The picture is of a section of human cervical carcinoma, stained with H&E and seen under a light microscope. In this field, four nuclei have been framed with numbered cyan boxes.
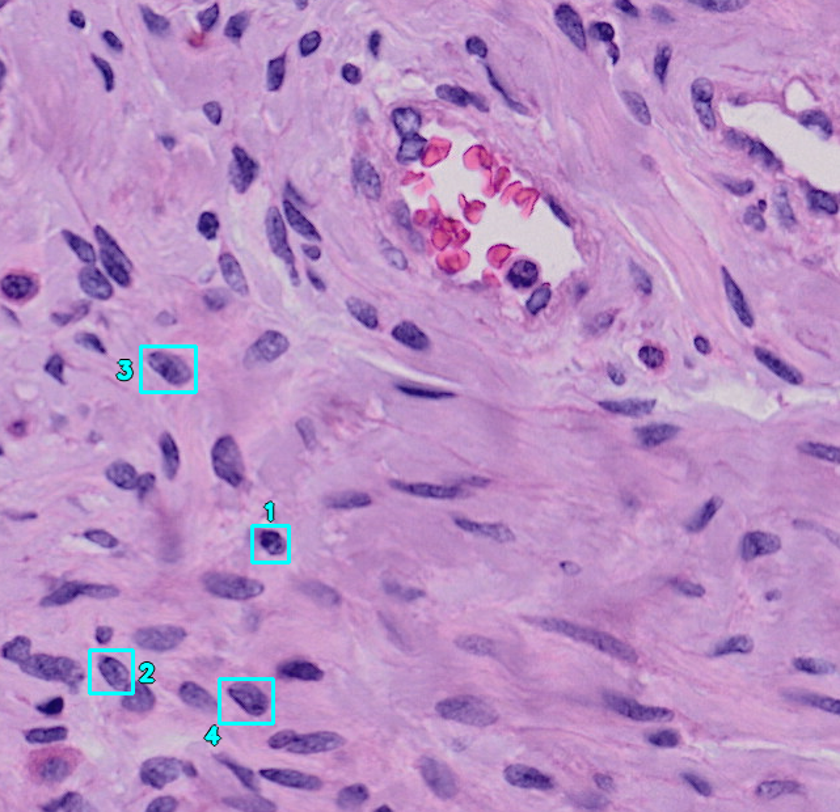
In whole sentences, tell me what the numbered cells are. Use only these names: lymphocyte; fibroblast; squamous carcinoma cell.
Cell 1 is a lymphocyte. Cells 2, 3 and 4 are fibroblasts.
